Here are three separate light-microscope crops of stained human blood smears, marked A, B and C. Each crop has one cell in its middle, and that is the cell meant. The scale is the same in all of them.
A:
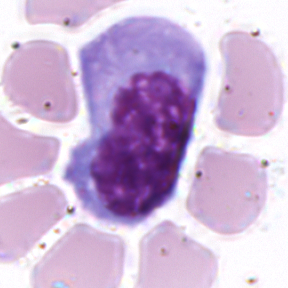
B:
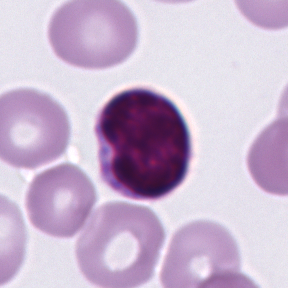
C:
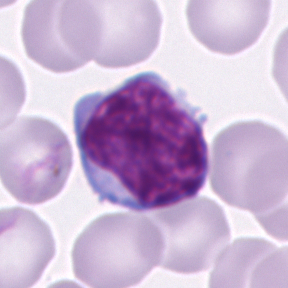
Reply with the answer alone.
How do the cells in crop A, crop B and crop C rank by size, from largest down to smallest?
A, C, B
